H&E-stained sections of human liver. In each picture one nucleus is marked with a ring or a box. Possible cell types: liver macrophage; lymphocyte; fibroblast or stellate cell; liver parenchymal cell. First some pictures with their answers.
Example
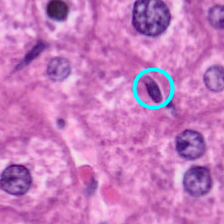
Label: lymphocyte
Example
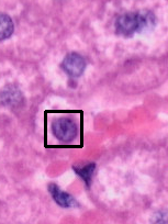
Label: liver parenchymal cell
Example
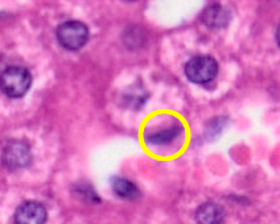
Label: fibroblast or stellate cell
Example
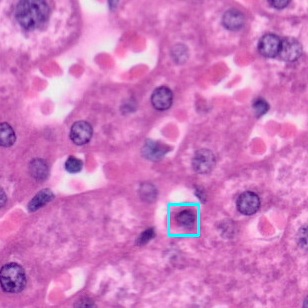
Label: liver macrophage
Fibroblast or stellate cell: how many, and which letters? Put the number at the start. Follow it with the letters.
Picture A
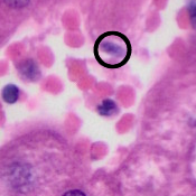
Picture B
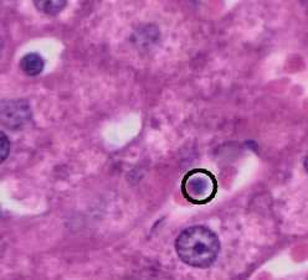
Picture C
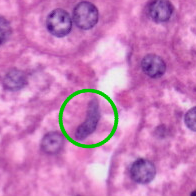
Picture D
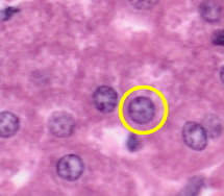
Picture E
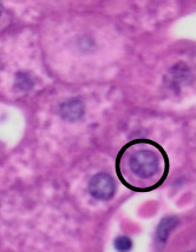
Count: 1 (A)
